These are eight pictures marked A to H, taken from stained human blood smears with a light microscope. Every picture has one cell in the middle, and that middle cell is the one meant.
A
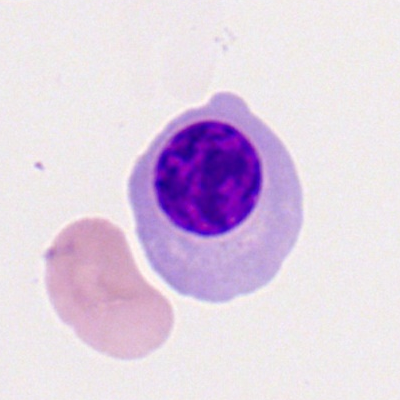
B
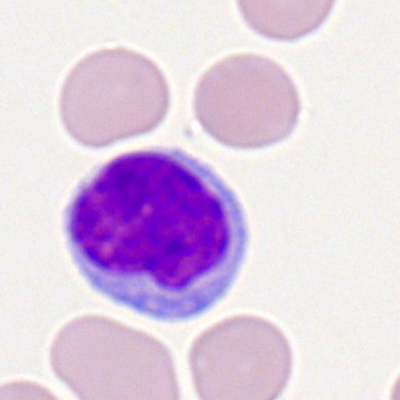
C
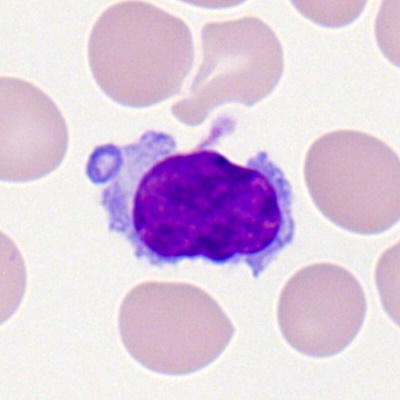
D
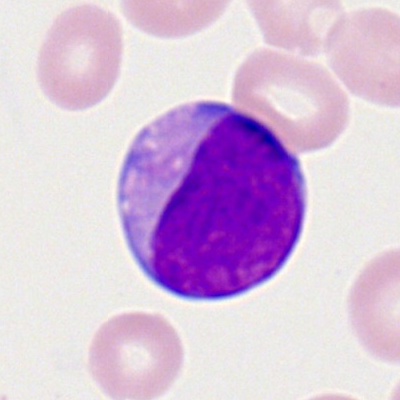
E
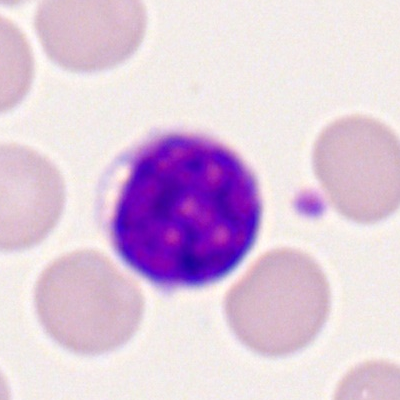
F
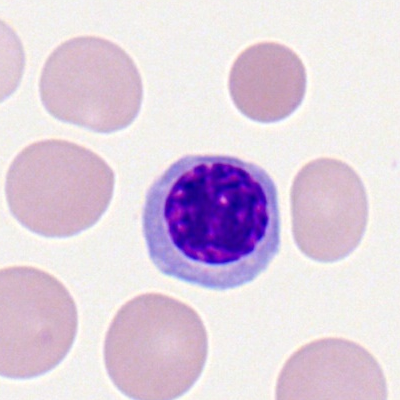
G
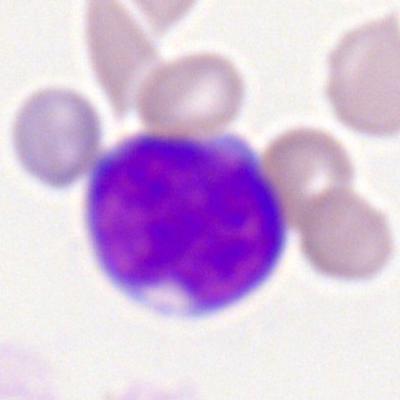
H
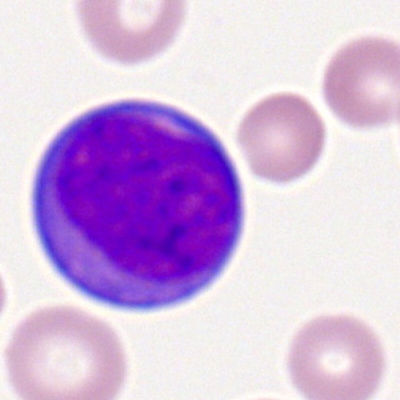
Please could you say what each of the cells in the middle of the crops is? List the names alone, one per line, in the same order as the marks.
erythroblast
lymphocyte
lymphocyte
myeloblast
lymphocyte
erythroblast
myeloblast
myeloblast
